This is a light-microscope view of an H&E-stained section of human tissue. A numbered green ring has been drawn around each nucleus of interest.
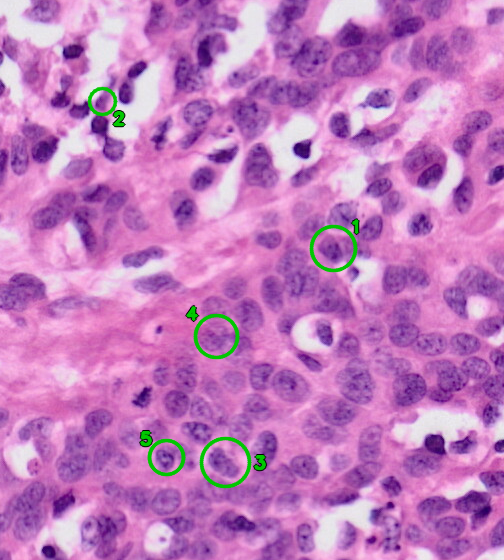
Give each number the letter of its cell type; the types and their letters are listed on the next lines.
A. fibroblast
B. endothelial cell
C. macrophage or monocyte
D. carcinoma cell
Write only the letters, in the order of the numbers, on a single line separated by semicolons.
D; D; C; D; C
